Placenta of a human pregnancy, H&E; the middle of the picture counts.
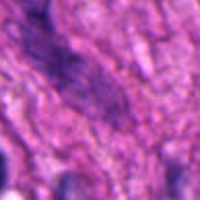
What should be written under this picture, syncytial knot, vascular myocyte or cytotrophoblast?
vascular myocyte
